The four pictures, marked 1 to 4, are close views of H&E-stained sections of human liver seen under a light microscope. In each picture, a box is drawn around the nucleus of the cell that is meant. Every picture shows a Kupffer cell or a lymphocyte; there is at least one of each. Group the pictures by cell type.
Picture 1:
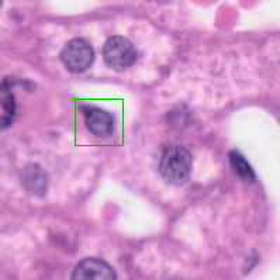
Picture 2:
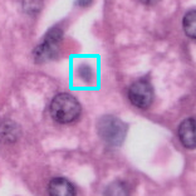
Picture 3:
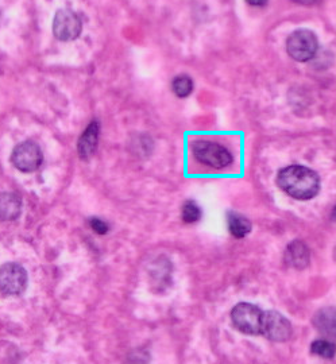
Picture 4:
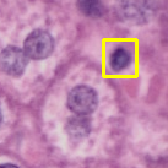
1: Kupffer cell
2: lymphocyte
3: Kupffer cell
4: lymphocyte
